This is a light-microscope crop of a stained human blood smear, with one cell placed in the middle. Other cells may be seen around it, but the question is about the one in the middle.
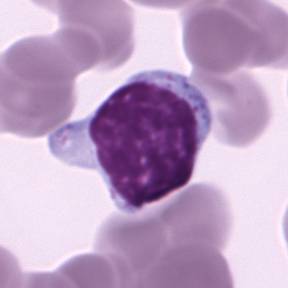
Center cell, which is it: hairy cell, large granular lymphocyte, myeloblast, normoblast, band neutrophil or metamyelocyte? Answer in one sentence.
The target cell in the middle of the crop is a large granular lymphocyte.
